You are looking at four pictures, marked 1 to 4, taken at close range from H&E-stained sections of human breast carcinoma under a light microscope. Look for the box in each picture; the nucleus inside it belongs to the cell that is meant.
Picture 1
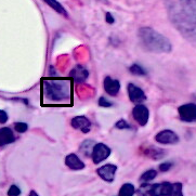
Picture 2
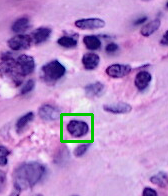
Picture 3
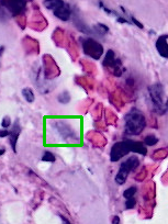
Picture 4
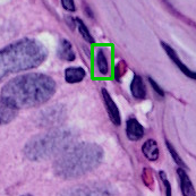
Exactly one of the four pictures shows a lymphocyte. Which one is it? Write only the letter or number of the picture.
2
